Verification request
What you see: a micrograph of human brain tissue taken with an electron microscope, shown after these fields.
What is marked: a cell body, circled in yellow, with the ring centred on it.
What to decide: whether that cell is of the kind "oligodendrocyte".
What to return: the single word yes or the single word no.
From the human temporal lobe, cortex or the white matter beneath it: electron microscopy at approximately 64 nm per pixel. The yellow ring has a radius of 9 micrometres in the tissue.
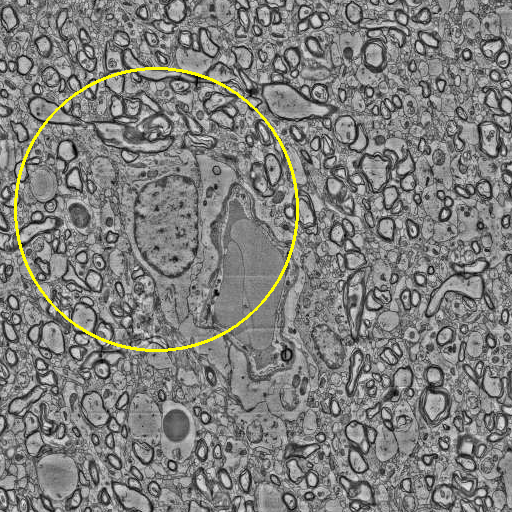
no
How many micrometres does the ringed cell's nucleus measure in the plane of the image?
In this plane the nucleus measures roughly 7 by 4 micrometres.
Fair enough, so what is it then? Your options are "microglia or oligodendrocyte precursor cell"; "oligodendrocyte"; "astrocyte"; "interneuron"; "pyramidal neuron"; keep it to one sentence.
The cell ringed in the picture is a microglial cell or oligodendrocyte precursor cell.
